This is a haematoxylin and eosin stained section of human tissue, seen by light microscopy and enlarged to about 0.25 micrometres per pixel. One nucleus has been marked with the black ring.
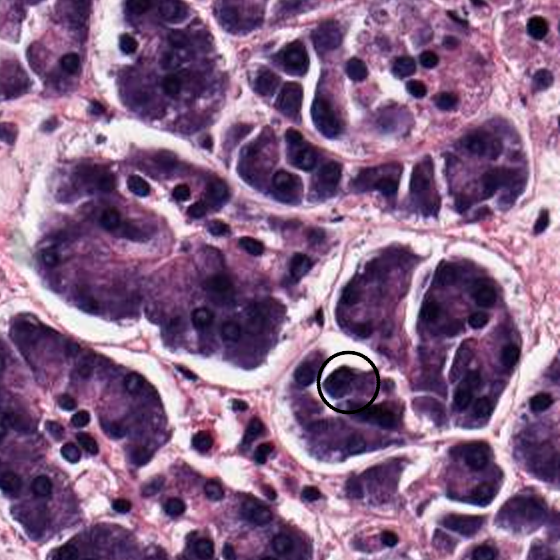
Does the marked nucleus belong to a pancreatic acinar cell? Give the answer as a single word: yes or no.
yes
